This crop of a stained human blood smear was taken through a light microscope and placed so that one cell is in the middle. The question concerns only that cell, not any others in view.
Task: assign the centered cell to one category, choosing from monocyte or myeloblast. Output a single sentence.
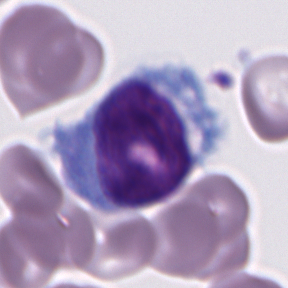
The cell centered in this field of view is a monocyte.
